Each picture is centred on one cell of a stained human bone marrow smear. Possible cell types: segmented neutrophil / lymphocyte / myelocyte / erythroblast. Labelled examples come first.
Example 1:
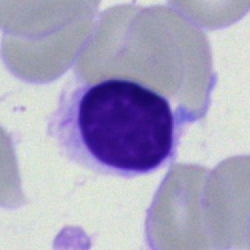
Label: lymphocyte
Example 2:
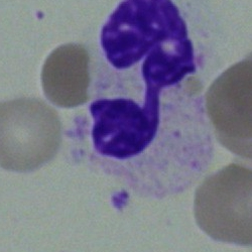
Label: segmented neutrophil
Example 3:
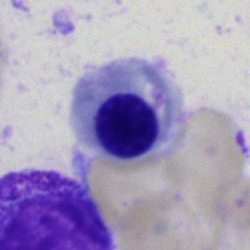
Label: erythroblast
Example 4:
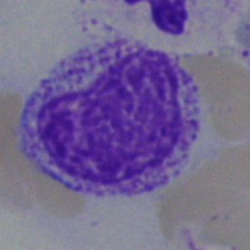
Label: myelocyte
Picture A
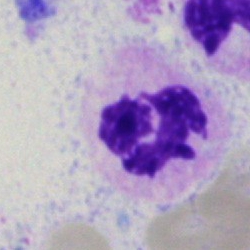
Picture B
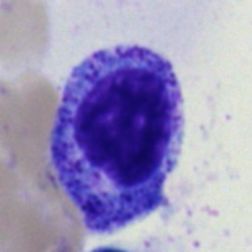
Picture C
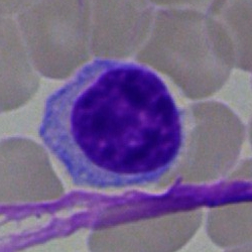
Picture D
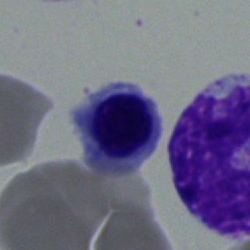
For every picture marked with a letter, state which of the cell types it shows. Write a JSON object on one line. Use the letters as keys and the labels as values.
{"A": "segmented neutrophil", "B": "myelocyte", "C": "lymphocyte", "D": "erythroblast"}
